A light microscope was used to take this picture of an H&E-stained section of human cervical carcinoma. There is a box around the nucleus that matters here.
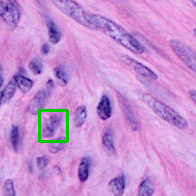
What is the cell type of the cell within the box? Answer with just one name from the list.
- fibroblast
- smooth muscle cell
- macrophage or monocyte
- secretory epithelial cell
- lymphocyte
smooth muscle cell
